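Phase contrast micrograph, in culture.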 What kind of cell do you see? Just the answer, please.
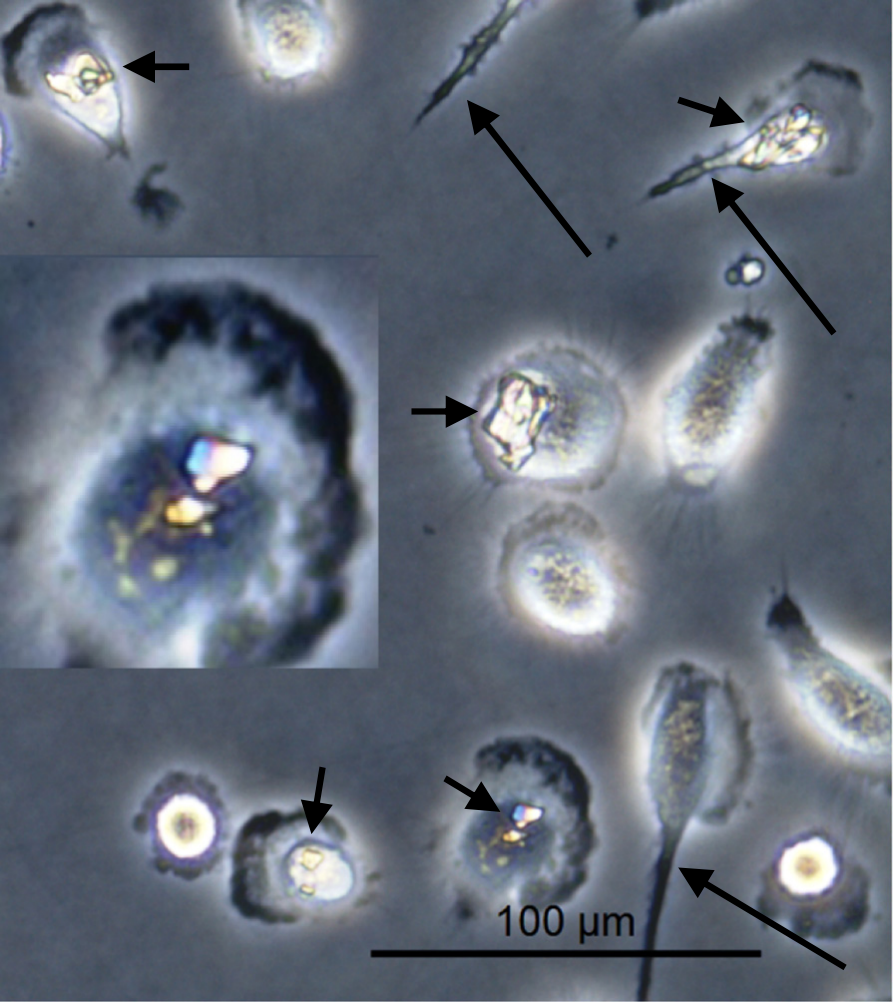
macrophages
